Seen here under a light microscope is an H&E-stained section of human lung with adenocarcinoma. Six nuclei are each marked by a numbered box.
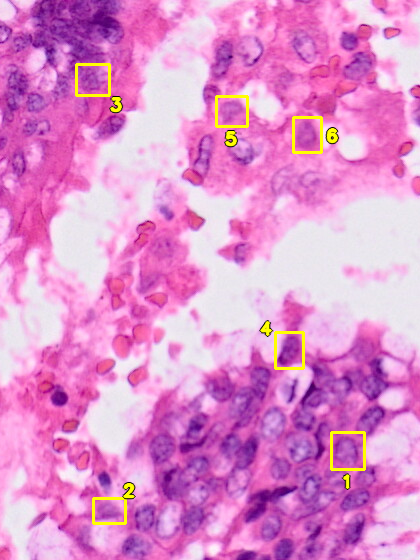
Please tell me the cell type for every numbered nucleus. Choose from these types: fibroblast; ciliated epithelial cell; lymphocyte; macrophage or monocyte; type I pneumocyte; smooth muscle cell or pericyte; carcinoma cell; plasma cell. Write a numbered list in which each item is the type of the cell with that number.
1. ciliated epithelial cell
2. ciliated epithelial cell
3. ciliated epithelial cell
4. ciliated epithelial cell
5. macrophage or monocyte
6. macrophage or monocyte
